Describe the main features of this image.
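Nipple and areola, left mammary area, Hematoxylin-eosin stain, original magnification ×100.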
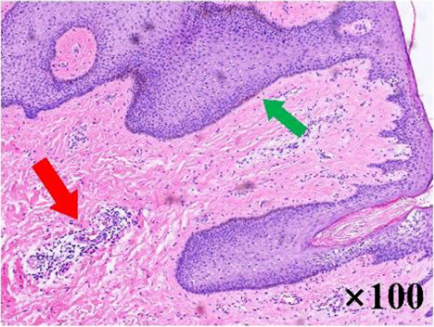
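The epidermis is broad and purple, with wide, bulbous downward projections, and a thin layer of pink keratin lies on its surface at the right. In the deeper dermis lies a small cluster of dark-purple round nuclei of inflammatory cells among the collagen bundles.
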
